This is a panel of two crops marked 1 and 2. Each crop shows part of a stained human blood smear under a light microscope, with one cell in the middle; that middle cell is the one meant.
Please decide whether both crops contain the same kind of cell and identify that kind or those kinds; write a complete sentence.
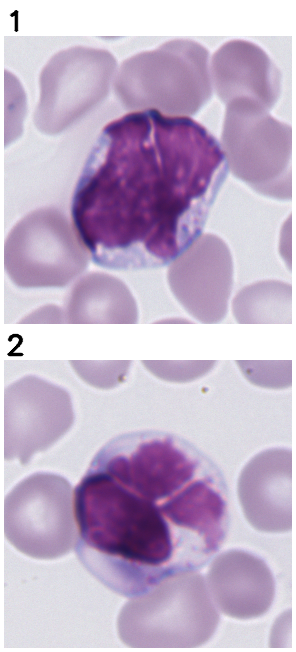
Yes, both crops show large granular lymphocytes, one in each.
